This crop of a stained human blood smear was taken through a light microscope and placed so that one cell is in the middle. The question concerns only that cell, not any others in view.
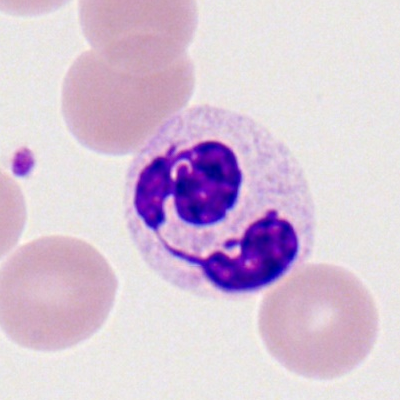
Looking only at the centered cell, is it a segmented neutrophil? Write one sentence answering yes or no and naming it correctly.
Yes, the cell that the crop is centred on is a segmented neutrophil.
